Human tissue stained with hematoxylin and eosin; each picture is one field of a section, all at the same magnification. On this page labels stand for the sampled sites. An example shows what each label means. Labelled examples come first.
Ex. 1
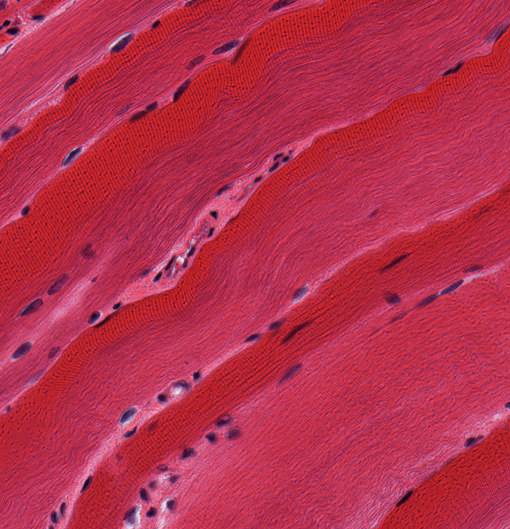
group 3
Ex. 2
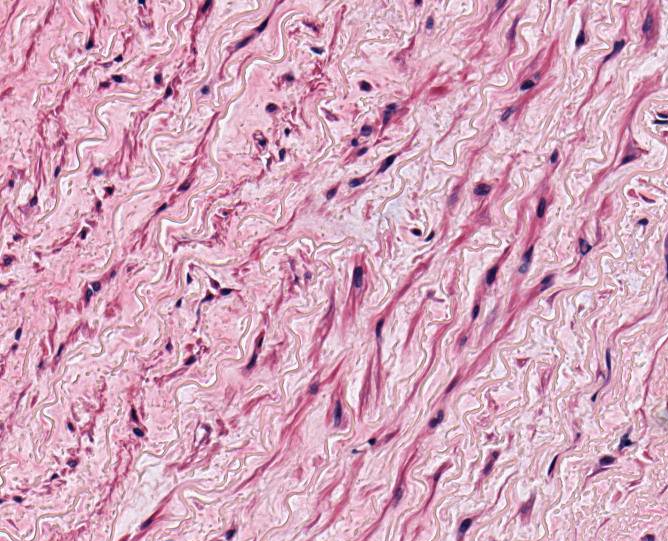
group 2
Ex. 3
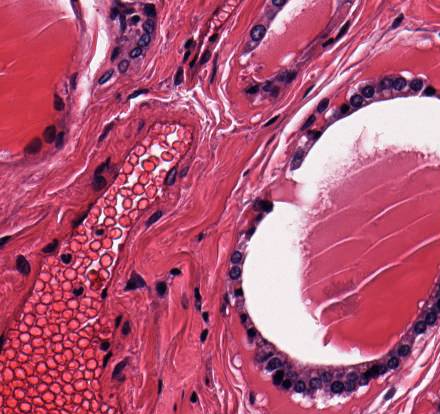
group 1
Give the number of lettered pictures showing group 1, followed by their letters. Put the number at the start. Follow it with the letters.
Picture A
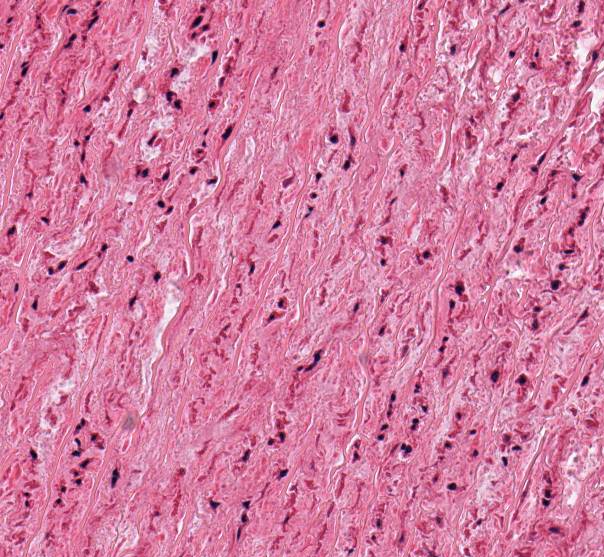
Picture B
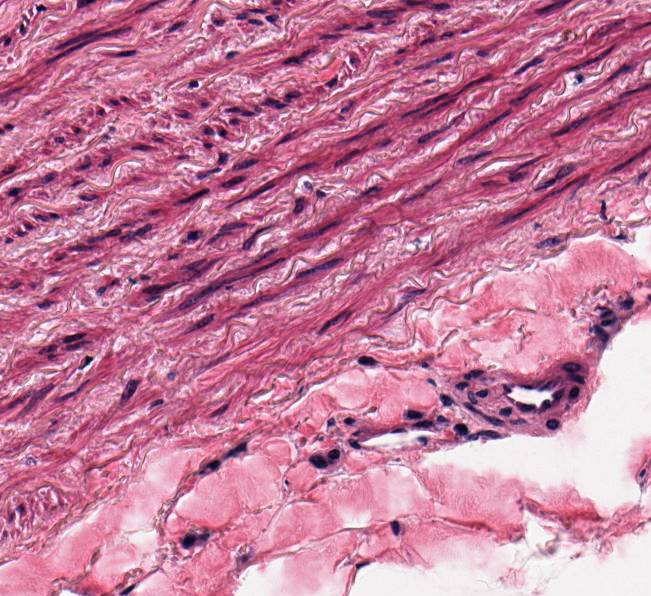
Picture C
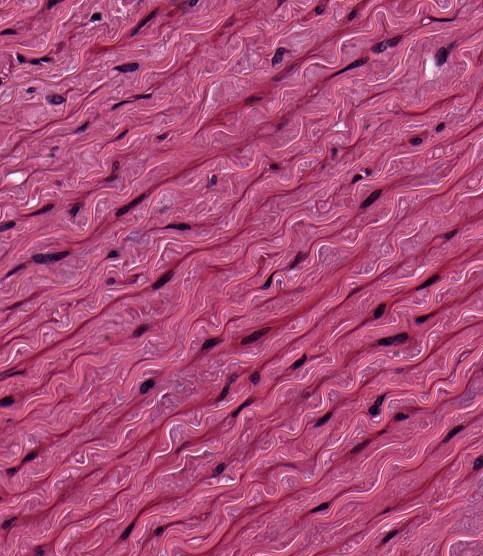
0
